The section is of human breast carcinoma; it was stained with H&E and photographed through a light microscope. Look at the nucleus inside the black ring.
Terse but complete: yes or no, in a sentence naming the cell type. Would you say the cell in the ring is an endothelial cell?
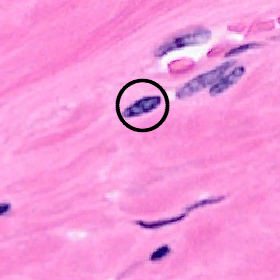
No, score the cell in the ring as a lymphocyte; it is not an endothelial cell.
